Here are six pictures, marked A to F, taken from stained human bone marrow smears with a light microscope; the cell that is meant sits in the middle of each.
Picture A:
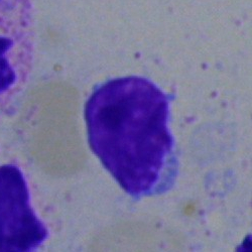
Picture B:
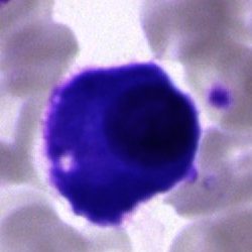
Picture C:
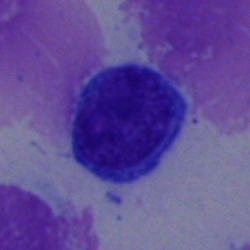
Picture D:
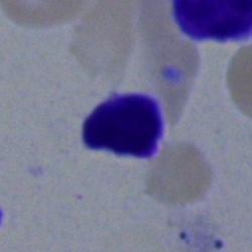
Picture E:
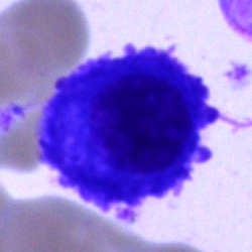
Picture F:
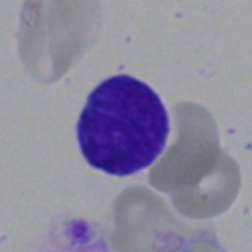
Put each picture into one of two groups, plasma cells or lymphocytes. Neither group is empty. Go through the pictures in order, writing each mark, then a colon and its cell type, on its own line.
A: lymphocyte
B: plasma cell
C: lymphocyte
D: lymphocyte
E: plasma cell
F: lymphocyte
